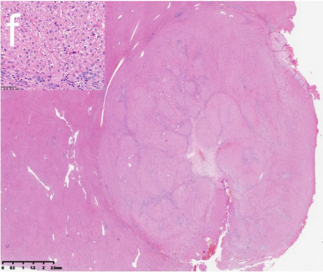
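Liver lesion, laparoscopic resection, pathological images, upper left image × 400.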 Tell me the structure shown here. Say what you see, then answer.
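A pale central area lies in the middle of the nodule. Thin bands radiate outward from the centre and divide the nodule into lobules.
Central radial scar.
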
